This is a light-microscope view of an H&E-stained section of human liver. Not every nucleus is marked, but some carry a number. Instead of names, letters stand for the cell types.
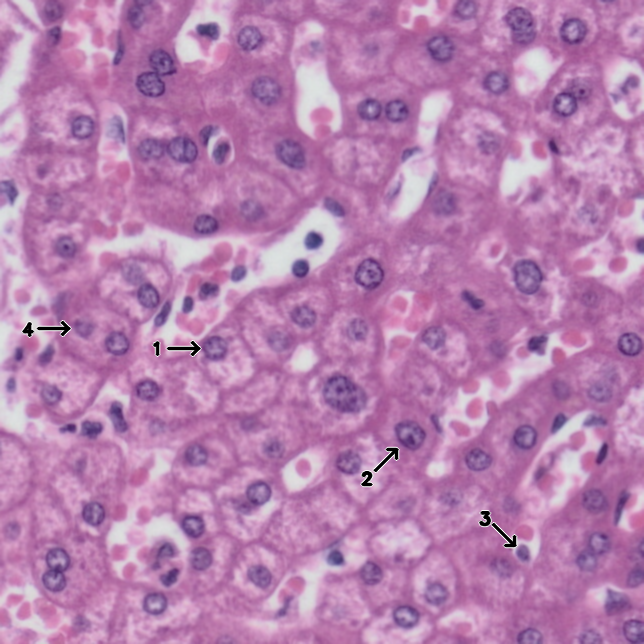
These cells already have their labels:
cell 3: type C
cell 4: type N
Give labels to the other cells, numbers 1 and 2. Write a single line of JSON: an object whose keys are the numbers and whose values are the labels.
{"1": "type N", "2": "type N"}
